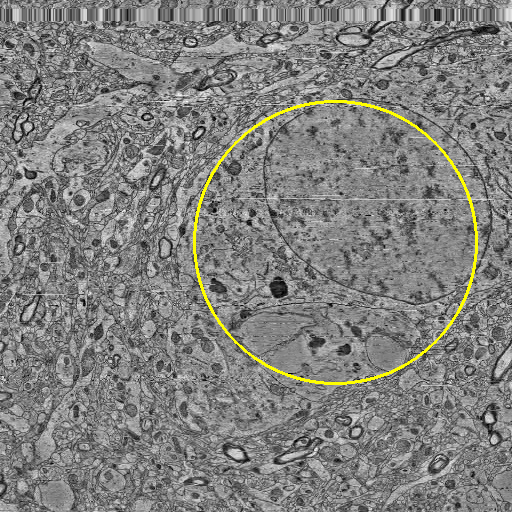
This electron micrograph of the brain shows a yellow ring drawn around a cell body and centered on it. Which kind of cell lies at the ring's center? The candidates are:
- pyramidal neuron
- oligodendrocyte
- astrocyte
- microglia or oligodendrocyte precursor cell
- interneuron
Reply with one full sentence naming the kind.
The cell lying at the ring's center in this micrograph is a pyramidal neuron.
